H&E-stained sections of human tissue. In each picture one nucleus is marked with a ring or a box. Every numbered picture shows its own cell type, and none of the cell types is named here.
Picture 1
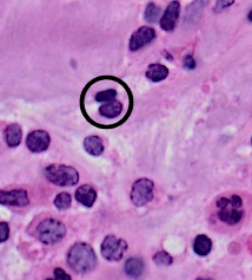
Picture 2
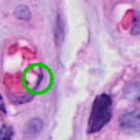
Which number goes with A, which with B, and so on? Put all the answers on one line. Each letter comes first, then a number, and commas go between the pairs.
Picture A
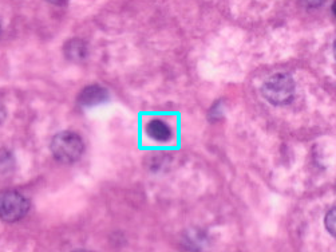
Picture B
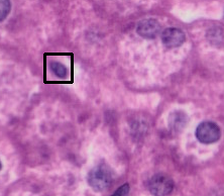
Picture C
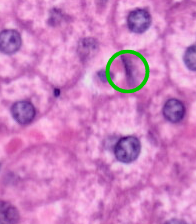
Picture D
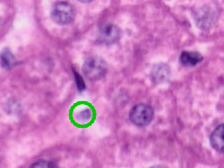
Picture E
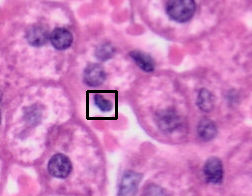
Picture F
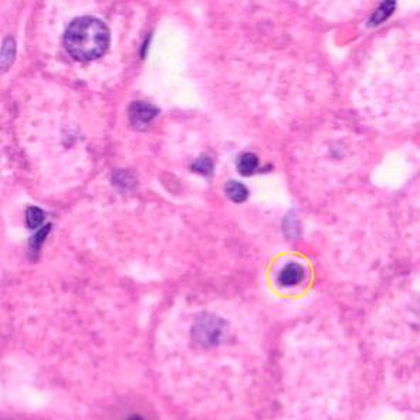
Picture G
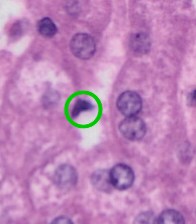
A 1, B 1, C 2, D 1, E 1, F 1, G 2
